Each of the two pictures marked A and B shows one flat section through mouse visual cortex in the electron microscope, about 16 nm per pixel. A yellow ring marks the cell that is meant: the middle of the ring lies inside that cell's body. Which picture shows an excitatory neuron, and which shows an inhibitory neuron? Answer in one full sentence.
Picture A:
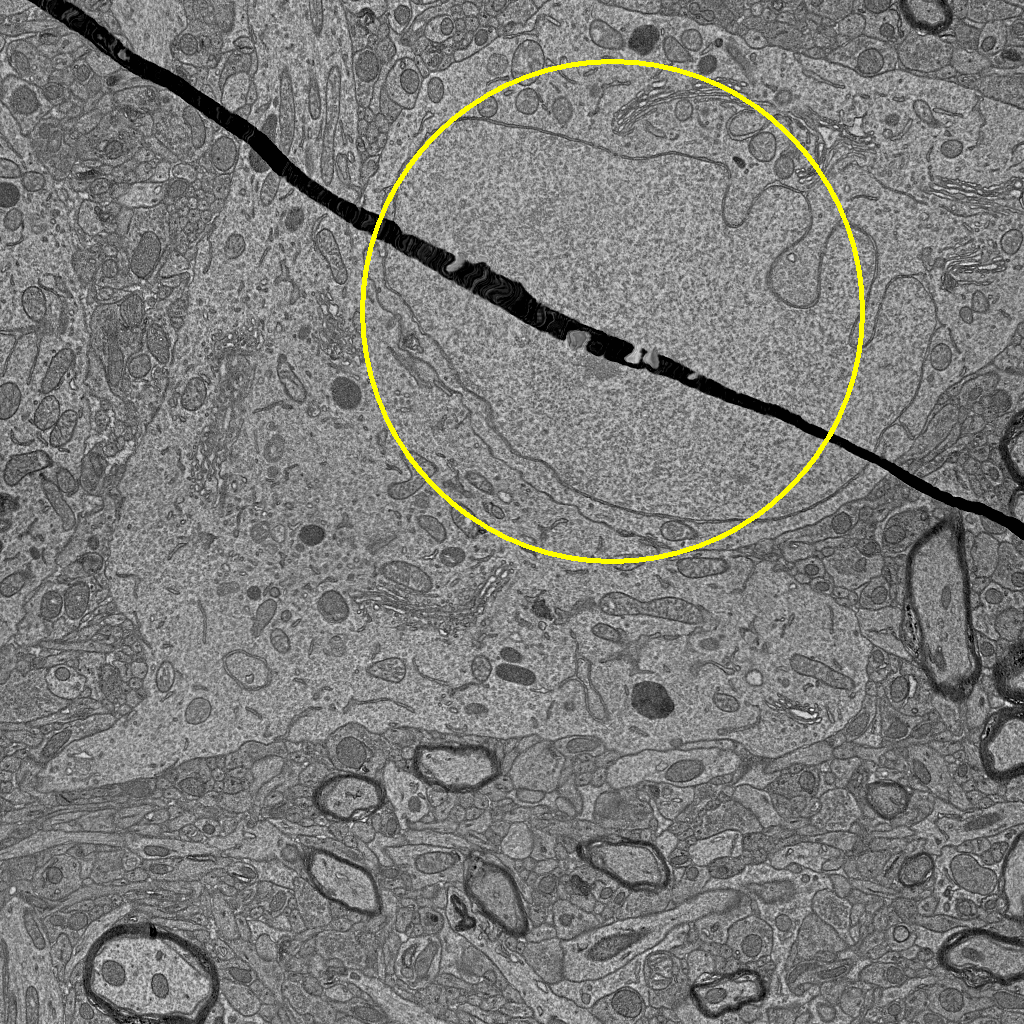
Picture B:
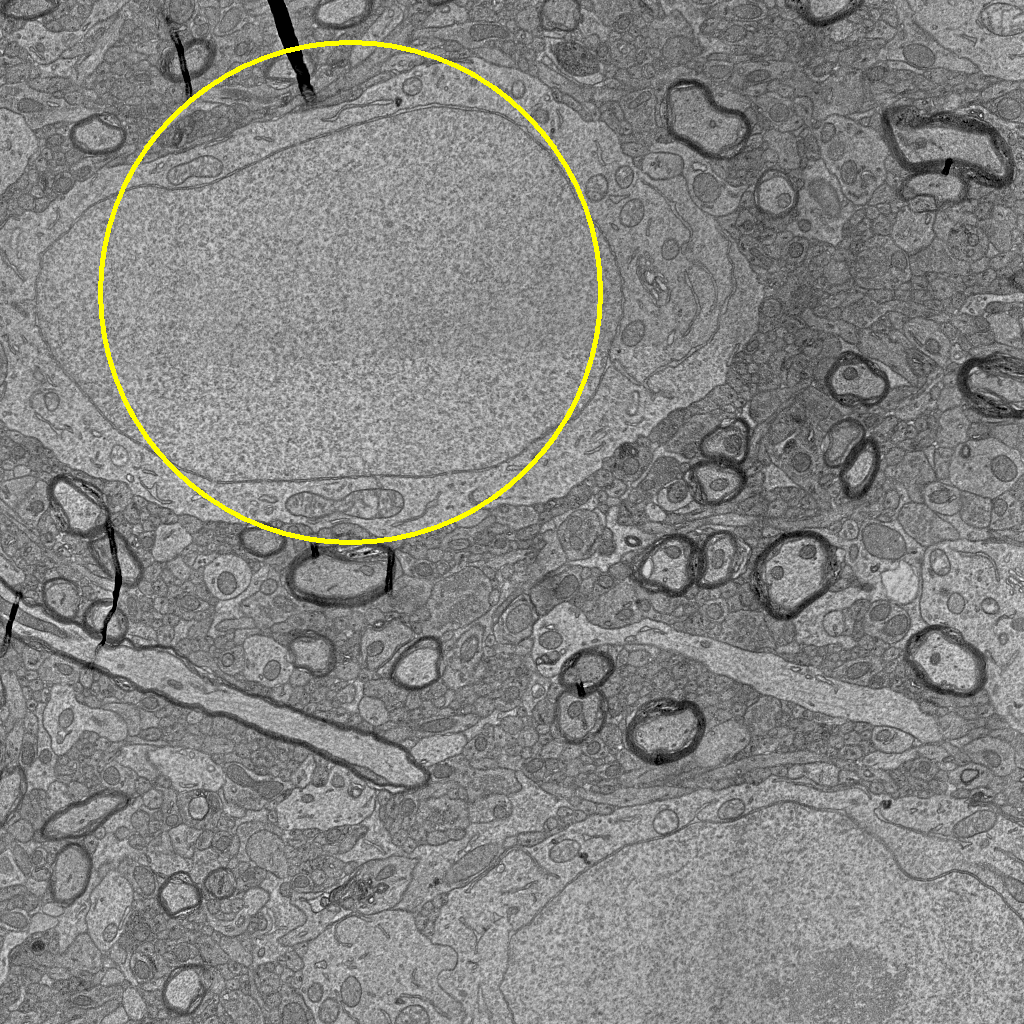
The cell in picture A is an inhibitory neuron, and the one in picture B is an excitatory neuron.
